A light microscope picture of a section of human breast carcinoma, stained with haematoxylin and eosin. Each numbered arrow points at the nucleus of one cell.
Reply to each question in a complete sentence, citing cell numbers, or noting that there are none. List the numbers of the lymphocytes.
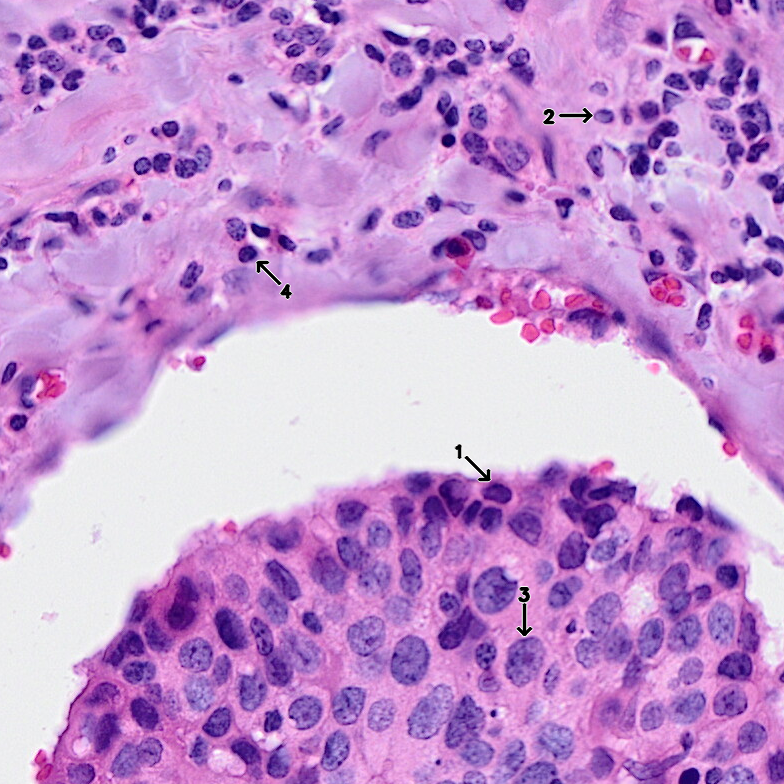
The cells bearing the numbers 2 and 4 are lymphocytes.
